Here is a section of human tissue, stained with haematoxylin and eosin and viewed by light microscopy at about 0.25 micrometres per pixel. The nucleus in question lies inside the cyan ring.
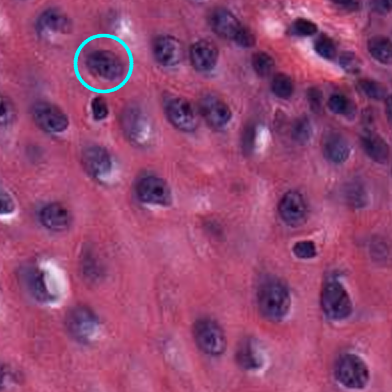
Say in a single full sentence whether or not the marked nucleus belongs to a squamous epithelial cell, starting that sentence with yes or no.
Yes, it is a squamous epithelial cell that holds the marked nucleus.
